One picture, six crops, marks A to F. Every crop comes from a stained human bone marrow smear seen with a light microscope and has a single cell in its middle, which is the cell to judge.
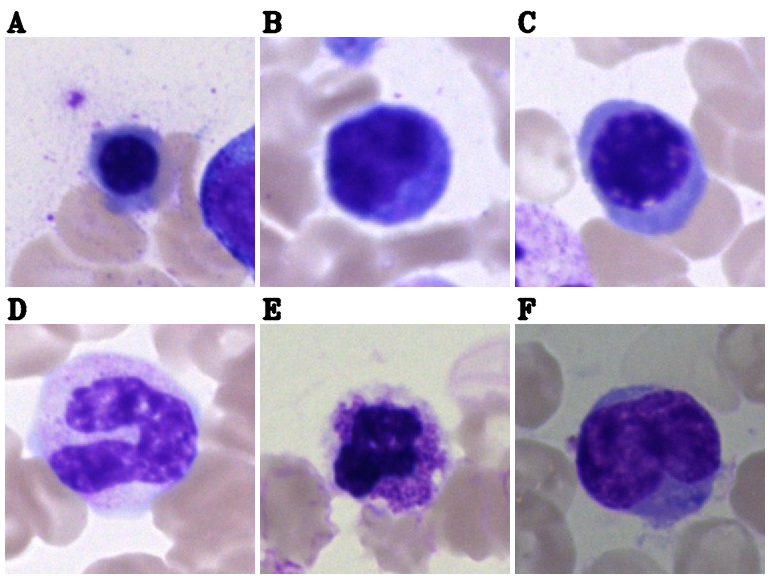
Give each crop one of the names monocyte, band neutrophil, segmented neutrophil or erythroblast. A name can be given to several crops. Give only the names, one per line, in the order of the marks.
erythroblast
monocyte
erythroblast
band neutrophil
segmented neutrophil
monocyte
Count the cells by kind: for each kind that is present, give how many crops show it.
erythroblast: 2
monocyte: 2
band neutrophil: 1
segmented neutrophil: 1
